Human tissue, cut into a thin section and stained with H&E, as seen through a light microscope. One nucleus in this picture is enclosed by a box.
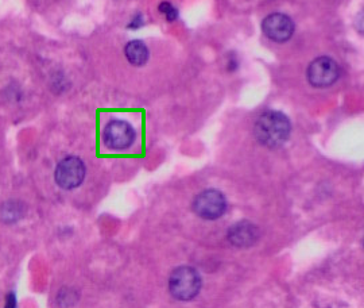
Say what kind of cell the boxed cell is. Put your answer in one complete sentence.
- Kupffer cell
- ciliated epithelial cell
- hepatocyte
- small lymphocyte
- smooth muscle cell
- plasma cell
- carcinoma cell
By its classification, the boxed cell is a hepatocyte.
